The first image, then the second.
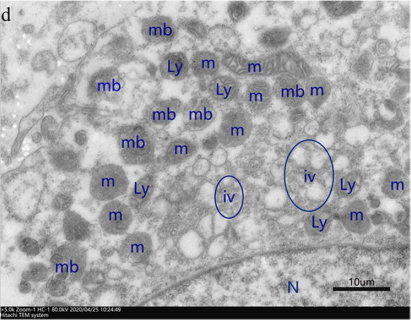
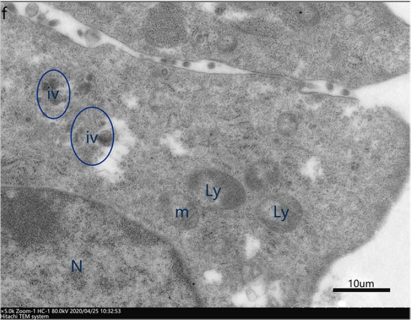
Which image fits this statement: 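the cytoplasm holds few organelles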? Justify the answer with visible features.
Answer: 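Second image: the cytoplasm is mostly uniform grainy ground substance with only a few round dense organelles. First image: the cytoplasm is crowded with many round dark membrane-bound organelles and pale vacuoles. That points to this answer: the second image.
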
